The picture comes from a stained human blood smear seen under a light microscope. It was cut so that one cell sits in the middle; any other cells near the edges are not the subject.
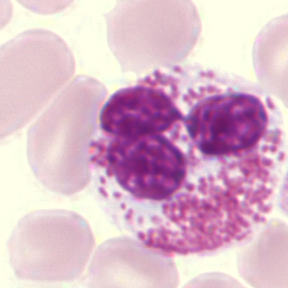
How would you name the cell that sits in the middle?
eosinophil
